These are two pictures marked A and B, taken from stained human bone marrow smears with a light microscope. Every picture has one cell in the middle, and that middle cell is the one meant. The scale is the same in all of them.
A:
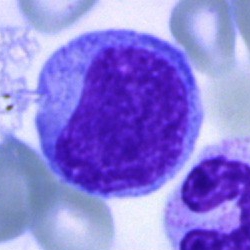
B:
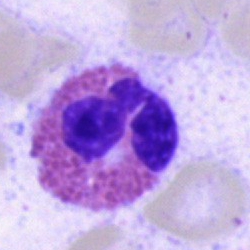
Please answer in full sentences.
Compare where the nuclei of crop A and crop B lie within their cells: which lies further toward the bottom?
The nucleus in crop A lies further toward the bottom of its cell.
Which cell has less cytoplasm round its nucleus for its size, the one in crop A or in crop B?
Of the two, the nucleus in crop A makes up the greater part of its cell.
